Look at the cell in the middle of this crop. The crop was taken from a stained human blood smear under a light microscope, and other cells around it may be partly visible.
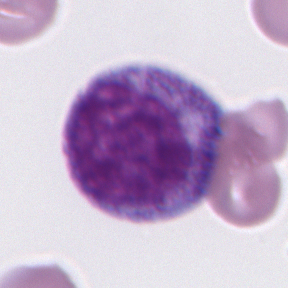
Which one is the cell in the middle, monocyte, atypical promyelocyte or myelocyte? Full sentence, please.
The cell that lies at the centre of the crop is a myelocyte.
